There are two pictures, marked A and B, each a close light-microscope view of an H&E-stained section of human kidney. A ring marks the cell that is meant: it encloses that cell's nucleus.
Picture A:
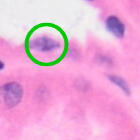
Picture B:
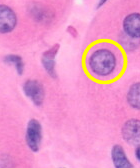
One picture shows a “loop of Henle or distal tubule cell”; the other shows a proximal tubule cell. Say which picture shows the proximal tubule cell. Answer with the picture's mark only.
B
